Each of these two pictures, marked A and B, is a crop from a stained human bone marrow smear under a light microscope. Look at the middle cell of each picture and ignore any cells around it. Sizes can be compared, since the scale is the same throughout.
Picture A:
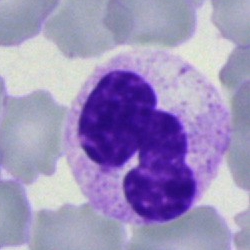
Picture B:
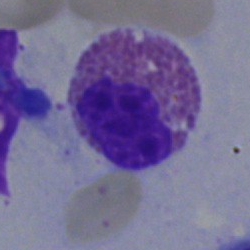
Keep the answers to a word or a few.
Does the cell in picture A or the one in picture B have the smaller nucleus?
B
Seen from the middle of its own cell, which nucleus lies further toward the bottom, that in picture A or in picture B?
B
